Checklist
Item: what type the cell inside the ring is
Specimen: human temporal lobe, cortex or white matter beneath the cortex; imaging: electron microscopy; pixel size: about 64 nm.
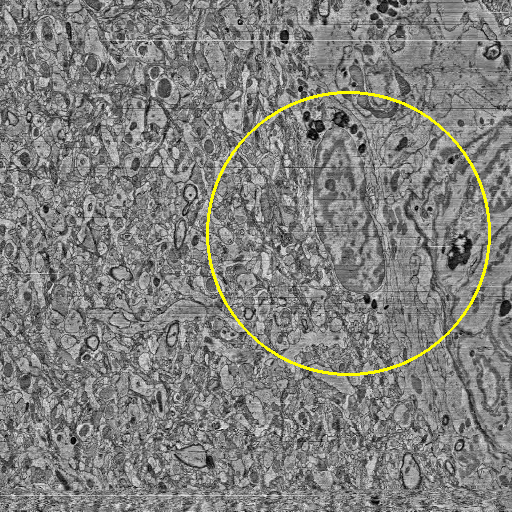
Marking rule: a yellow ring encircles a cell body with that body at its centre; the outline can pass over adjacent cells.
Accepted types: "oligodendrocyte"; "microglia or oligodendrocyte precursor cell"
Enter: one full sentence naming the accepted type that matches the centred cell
The entry is that a microglial cell or oligodendrocyte precursor cell lies at the centre of the yellow ring.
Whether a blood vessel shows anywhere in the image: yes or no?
Yes, one shows.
